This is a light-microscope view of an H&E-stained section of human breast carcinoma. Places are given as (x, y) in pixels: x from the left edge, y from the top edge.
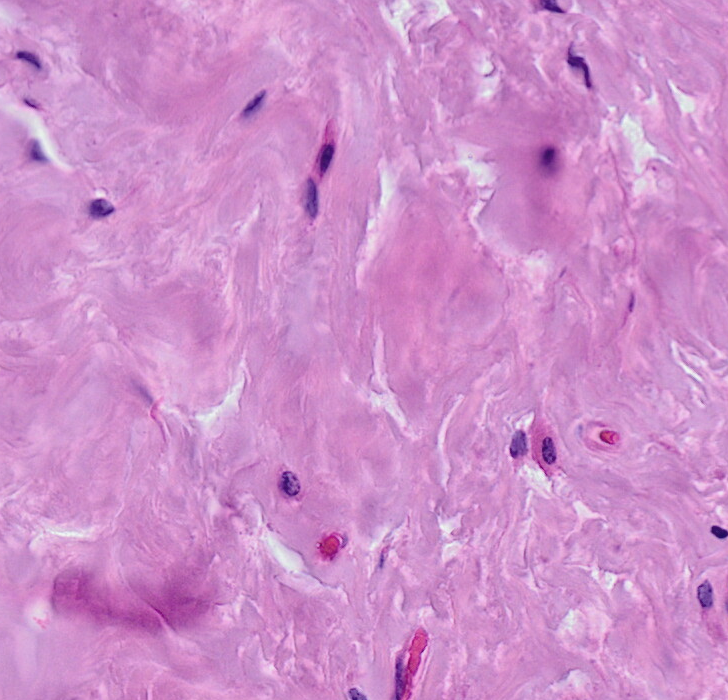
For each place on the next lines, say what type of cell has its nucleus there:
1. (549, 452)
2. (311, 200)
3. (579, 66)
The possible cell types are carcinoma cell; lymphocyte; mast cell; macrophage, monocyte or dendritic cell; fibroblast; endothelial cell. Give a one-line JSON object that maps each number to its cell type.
{"1": "mast cell", "2": "fibroblast", "3": "fibroblast"}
